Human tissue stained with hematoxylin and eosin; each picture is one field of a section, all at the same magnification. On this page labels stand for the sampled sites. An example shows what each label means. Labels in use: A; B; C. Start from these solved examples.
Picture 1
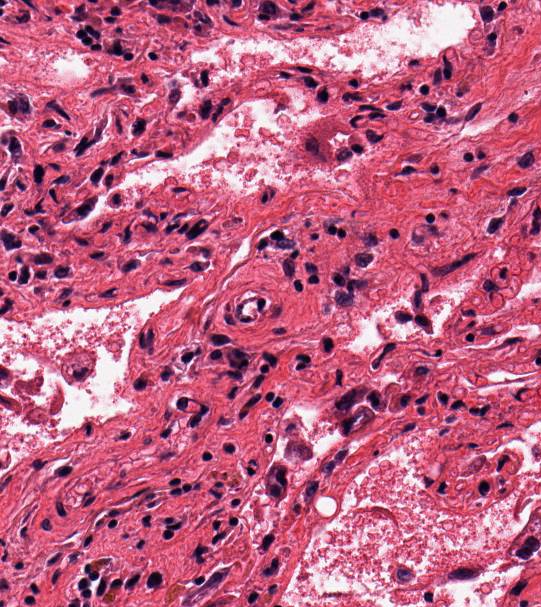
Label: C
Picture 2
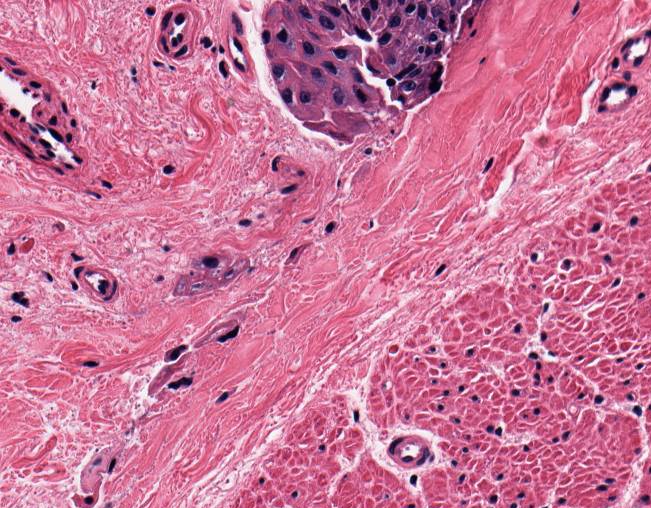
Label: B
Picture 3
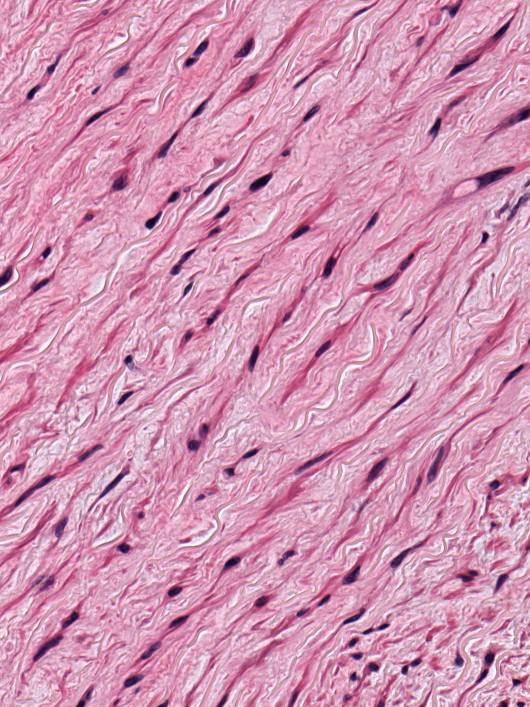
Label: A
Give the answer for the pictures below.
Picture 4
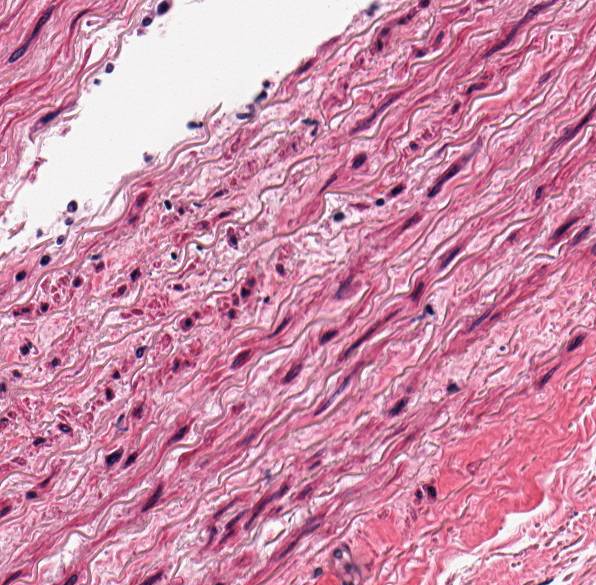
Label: A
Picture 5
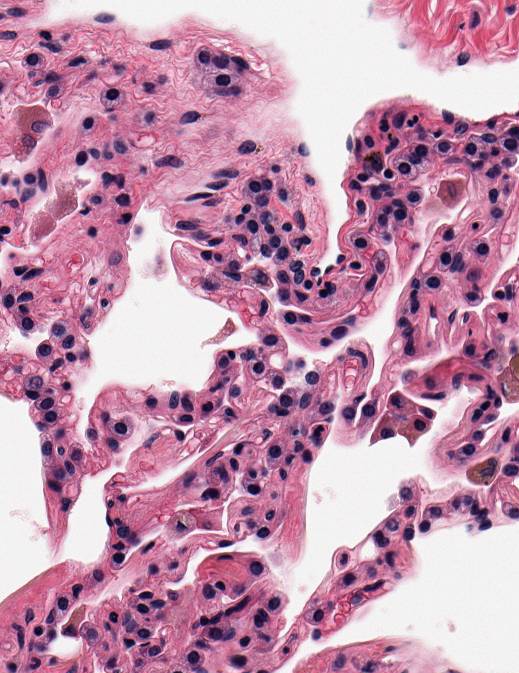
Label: C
